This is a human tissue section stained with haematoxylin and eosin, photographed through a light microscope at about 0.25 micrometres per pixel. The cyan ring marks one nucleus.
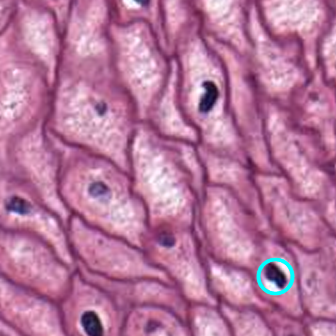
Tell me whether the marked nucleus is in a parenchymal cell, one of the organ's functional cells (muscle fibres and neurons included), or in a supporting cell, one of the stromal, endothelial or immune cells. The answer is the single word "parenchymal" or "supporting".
parenchymal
